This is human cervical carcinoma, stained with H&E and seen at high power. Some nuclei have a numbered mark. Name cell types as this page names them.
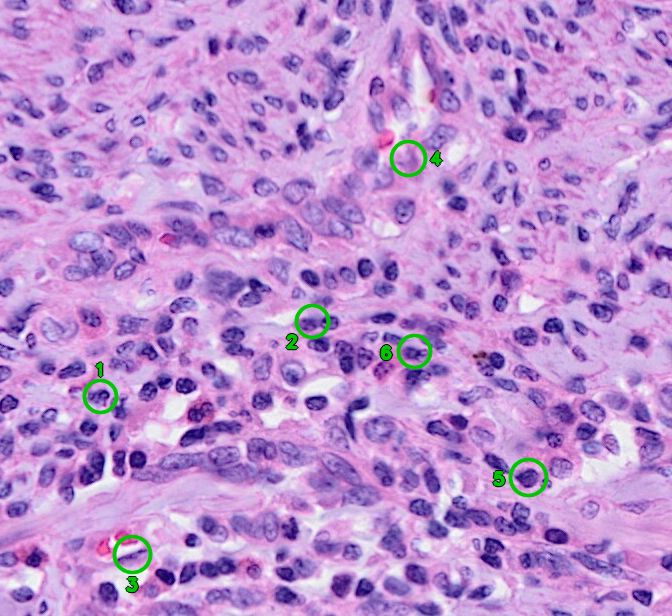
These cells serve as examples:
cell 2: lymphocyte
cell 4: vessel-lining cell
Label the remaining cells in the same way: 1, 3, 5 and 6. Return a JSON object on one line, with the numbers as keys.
{"1": "lymphocyte", "3": "vessel-lining cell", "5": "lymphocyte", "6": "lymphocyte"}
